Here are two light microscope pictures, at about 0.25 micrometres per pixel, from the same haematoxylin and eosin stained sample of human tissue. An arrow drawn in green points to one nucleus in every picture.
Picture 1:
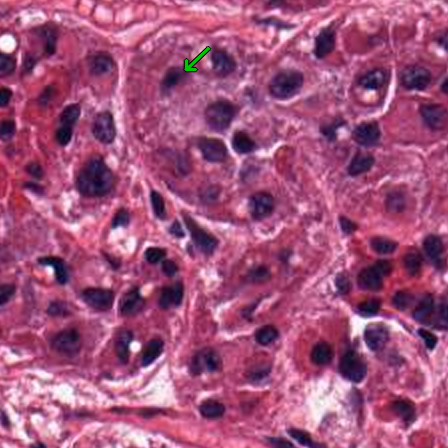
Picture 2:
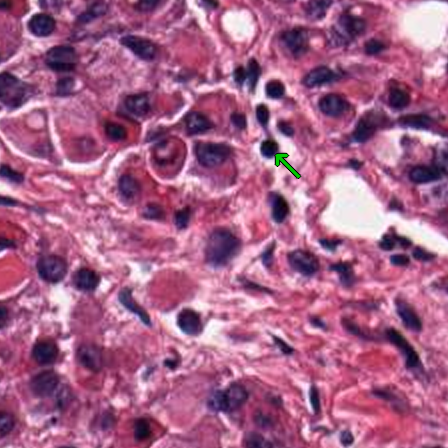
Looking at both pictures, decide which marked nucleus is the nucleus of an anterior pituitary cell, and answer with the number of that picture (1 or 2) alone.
1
